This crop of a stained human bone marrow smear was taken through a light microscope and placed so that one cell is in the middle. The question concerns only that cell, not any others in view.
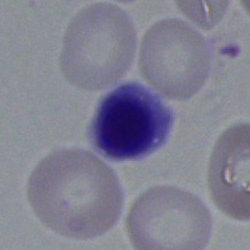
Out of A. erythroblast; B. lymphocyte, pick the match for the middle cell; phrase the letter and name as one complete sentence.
Option A is to be chosen, as the central cell is an erythroblast.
